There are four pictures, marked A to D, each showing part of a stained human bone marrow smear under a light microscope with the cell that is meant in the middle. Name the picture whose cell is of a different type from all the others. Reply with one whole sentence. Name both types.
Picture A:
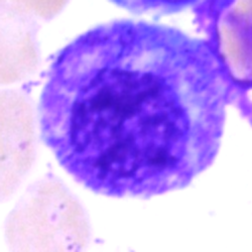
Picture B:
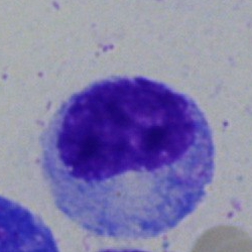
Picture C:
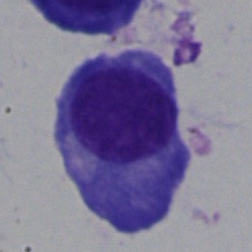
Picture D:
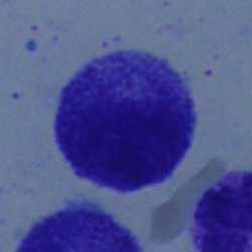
The different one is picture C; it shows a plasma cell, whereas all the others show myelocytes.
